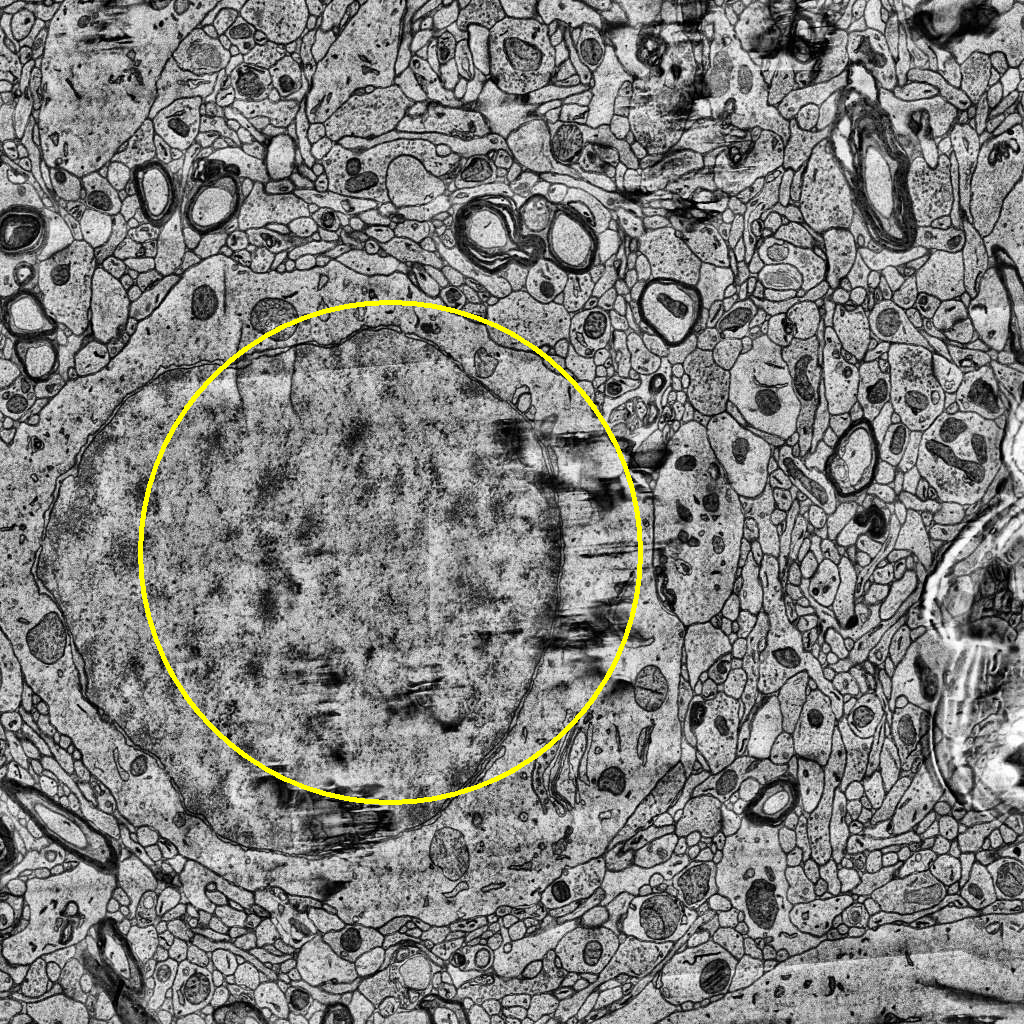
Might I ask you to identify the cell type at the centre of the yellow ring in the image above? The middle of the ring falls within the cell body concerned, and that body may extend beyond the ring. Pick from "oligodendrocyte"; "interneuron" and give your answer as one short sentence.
The centre of the ring falls on an interneuron.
